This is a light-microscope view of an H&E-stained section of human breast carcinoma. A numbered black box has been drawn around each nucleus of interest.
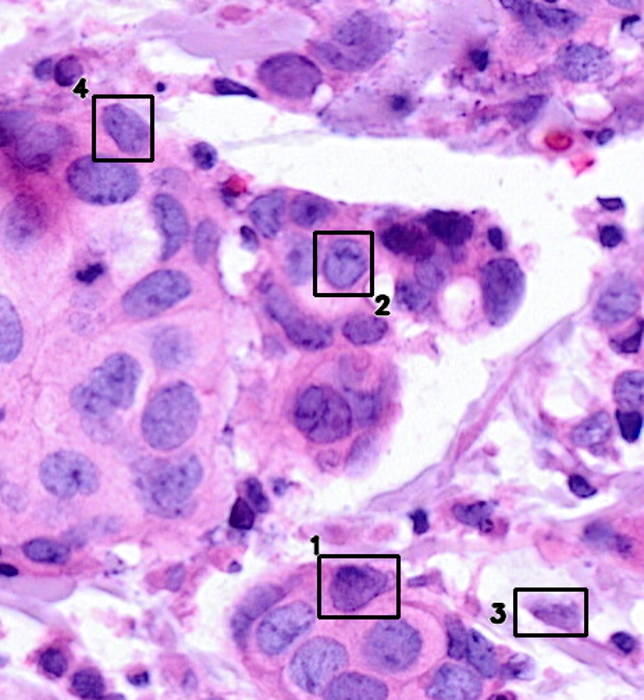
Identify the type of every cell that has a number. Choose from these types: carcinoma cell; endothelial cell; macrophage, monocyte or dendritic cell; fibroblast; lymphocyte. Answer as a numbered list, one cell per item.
1. carcinoma cell
2. carcinoma cell
3. fibroblast
4. carcinoma cell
